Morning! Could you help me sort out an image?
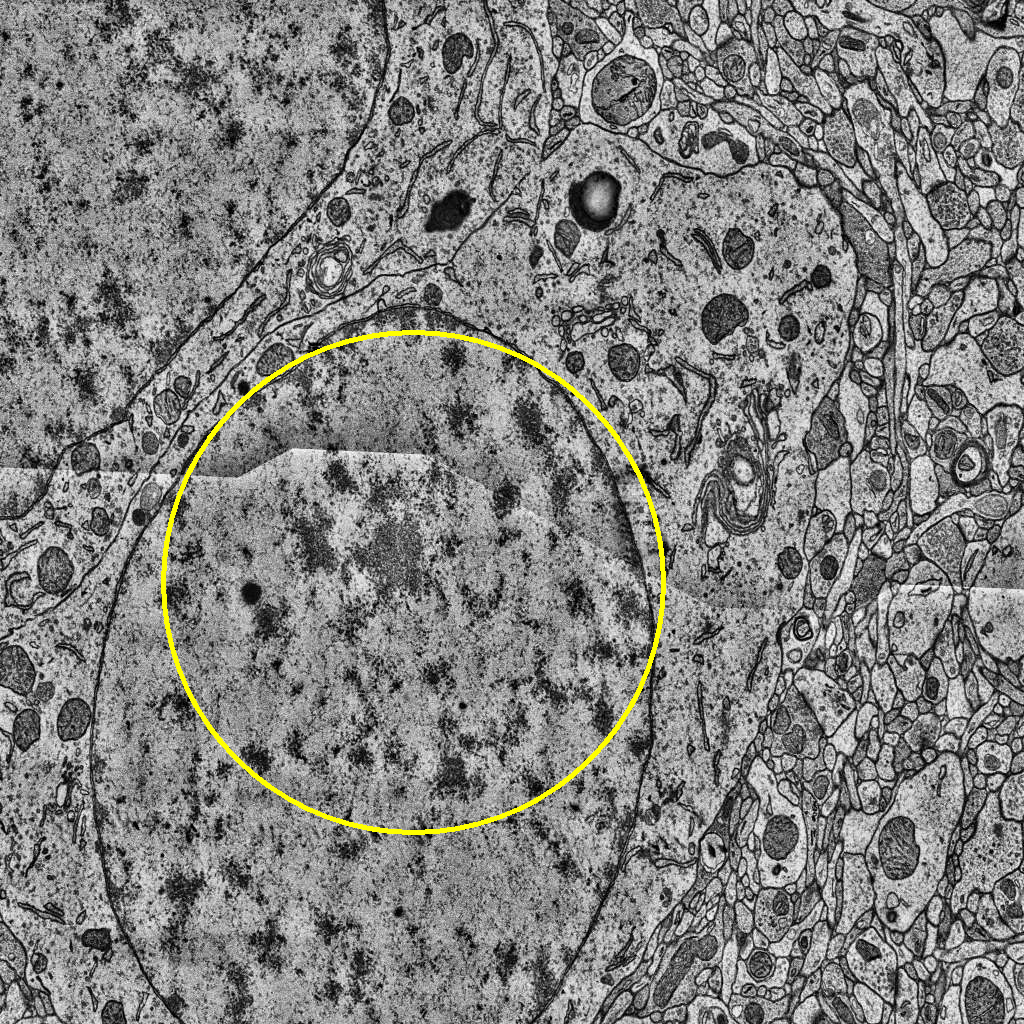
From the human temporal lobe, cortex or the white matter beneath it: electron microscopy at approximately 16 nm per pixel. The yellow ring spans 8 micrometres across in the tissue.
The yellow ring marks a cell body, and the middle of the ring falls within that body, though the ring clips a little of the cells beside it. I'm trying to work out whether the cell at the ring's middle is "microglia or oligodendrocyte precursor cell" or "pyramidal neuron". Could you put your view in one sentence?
The cell body at the ring's middle is that of a pyramidal neuron.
